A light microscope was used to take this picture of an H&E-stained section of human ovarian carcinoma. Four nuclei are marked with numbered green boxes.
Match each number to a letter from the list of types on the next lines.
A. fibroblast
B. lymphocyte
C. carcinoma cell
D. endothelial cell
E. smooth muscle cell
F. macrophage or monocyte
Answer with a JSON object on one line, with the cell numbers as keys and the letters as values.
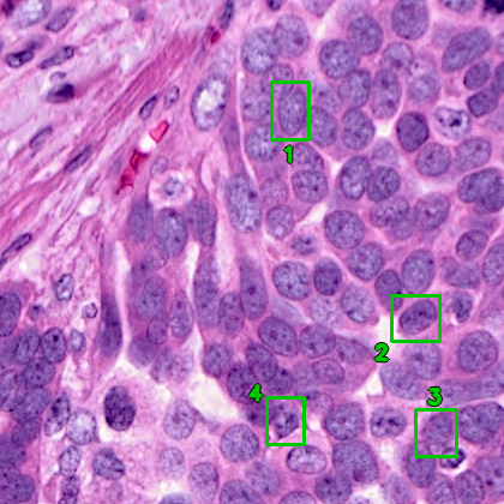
{"1": "C", "2": "C", "3": "C", "4": "F"}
